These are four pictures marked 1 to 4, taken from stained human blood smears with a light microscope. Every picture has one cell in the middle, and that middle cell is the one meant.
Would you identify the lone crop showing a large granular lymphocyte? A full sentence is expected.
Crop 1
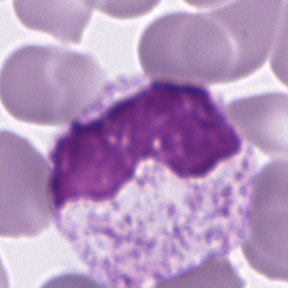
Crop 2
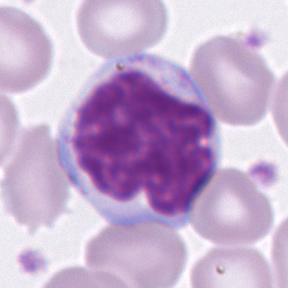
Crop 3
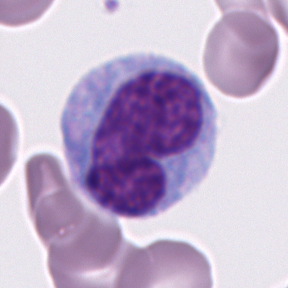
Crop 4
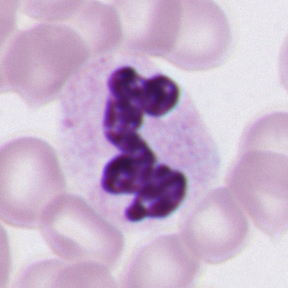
Crop 2 is the crop that shows a large granular lymphocyte in its middle.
